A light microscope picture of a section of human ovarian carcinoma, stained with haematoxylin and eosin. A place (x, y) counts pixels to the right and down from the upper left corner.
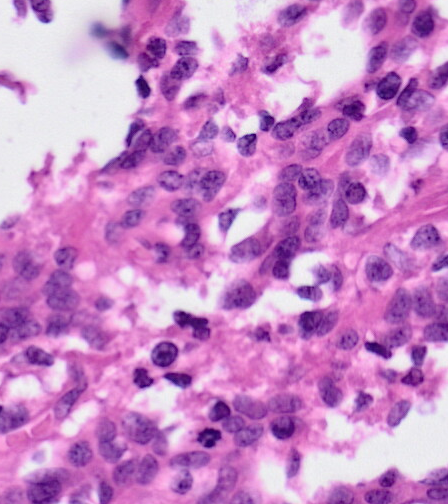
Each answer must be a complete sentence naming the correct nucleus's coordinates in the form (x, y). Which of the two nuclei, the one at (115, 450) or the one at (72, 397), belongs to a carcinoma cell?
The nucleus of a carcinoma cell is the one found at (115, 450), not the other.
